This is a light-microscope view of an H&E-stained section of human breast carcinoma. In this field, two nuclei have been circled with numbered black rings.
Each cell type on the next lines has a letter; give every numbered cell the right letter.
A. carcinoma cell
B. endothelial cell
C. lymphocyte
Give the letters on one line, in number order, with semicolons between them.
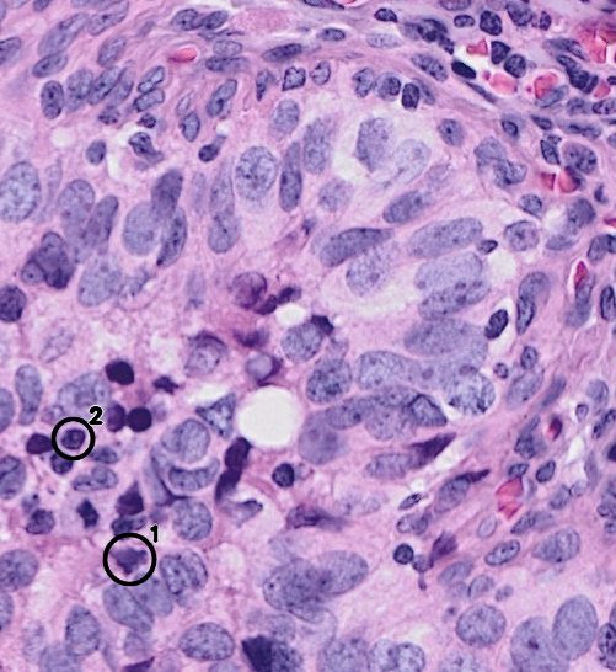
A; C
